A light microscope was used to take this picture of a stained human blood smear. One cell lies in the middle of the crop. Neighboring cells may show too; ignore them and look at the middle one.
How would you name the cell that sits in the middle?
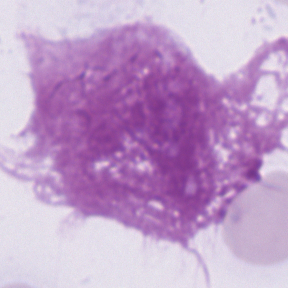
smudge cell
